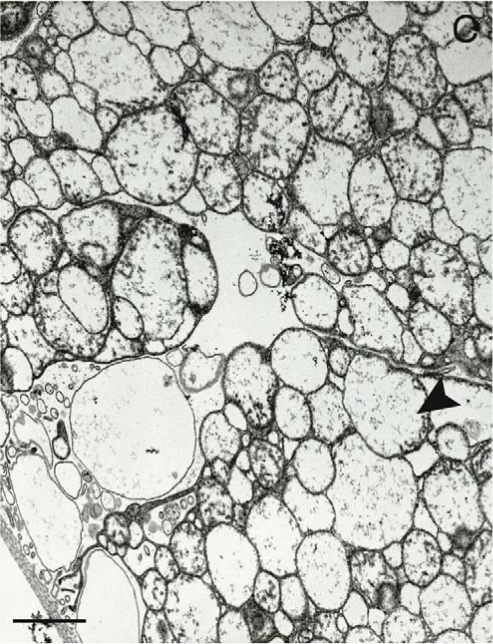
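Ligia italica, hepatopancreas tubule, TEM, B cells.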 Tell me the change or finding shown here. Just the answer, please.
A: swelling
